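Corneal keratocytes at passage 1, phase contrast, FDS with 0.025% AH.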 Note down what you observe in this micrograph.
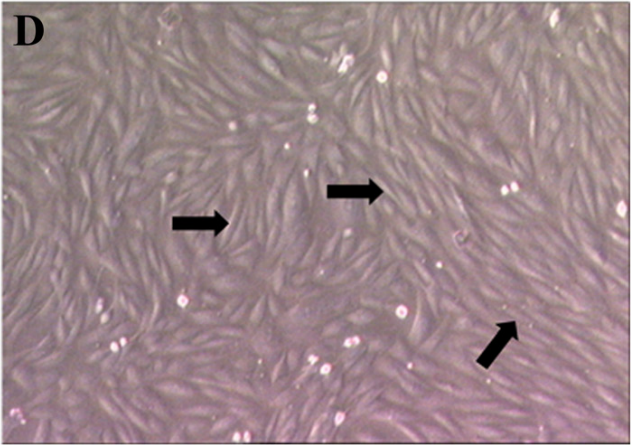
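Most cells are fusiform, narrow and spindle-shaped with tapering ends, and they lie side by side in parallel, swirling streams. A few small bright round bodies sit scattered on top of the layer.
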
